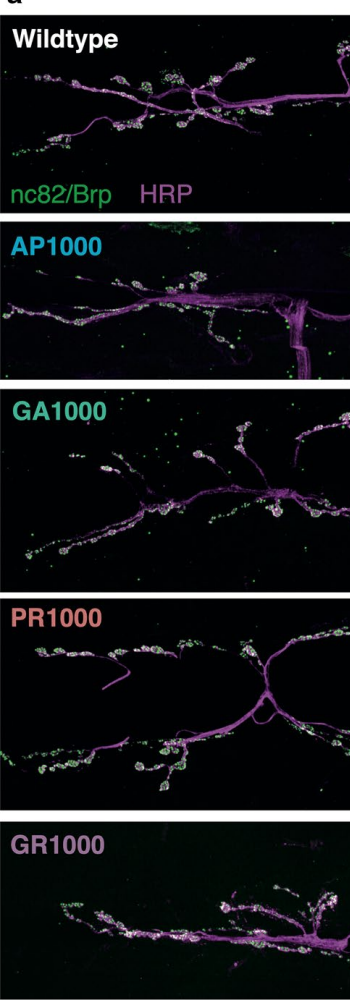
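Five examples of the larval neuromuscular junction, each a motor nerve terminal spread over the muscle surface. A thick magenta nerve trunk enters and splits into several long branches running mostly lengthwise. The nerve trunks and thin connecting stretches carry few or no green puncta. Scattered green dots also lie off the terminals in the background.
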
